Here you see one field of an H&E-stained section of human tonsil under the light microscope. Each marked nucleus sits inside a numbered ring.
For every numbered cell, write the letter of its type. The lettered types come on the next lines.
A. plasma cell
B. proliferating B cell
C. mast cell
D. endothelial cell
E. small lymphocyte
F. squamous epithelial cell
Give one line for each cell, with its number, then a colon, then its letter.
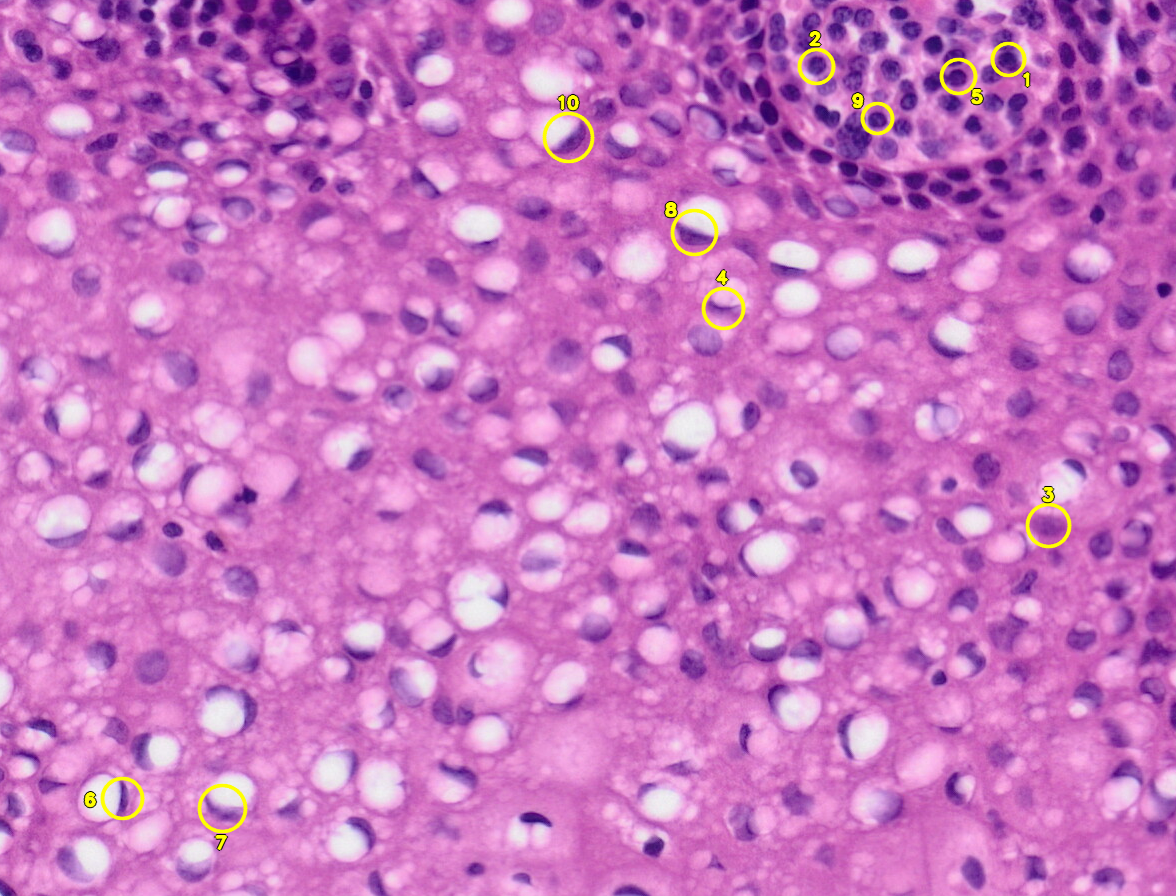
1: A
2: A
3: F
4: F
5: A
6: F
7: F
8: F
9: A
10: F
